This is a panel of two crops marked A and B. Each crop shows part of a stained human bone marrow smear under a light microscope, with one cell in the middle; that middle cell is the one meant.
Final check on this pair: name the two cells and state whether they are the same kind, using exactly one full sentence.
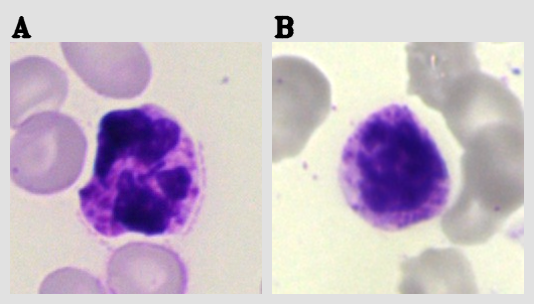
Yes, both crops show basophils in the centre of the field.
